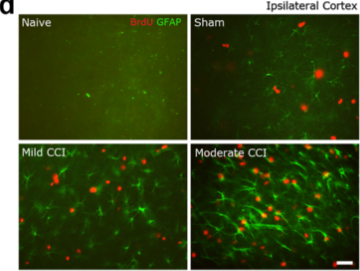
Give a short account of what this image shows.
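In the first image the tissue is almost empty of green cells and red nuclei, while the others show scattered round red nuclei among star-shaped green cells. In the most affected image the astrocytes are crowded, with thick, long, interwoven processes forming a dense meshwork, the picture of astrogliosis. The red nuclei mostly lie beside rather than within the green cells.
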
